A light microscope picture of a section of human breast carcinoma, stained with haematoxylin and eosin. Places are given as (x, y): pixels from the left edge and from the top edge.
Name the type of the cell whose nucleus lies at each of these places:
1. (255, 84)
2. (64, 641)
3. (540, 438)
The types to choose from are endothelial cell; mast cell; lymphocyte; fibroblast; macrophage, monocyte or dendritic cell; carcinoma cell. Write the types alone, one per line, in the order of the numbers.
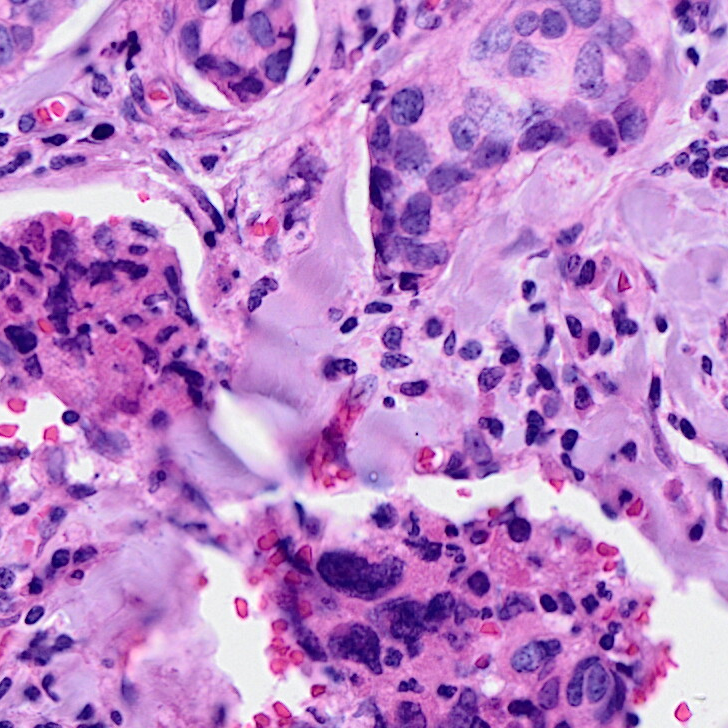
carcinoma cell
lymphocyte
lymphocyte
